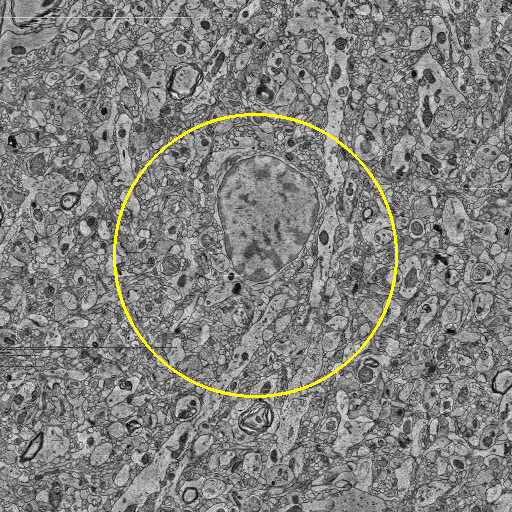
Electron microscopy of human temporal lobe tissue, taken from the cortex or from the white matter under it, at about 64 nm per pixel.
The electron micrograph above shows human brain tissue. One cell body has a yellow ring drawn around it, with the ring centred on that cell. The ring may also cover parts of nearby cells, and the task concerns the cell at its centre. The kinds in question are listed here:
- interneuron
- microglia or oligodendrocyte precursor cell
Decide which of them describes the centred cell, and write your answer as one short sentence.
The centred cell is a microglial cell or oligodendrocyte precursor cell.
